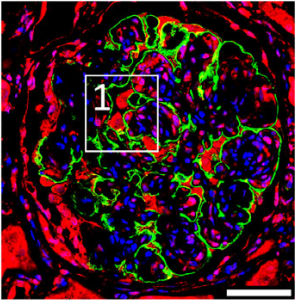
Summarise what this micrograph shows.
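A whole glomerulus with surrounding kidney tissue. Inside a rounded capsule the tuft is divided into many lobules whose capillary loops are outlined by thin green lines. Numerous blue nuclei crowd the tuft. Patches of bright red lie within the tuft between and along the green outlines, and red also fills epithelial cells of tubules around the glomerulus at the edges of the field. A white box marks a region inside the tuft containing several large red-filled cells next to green-lined loops.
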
